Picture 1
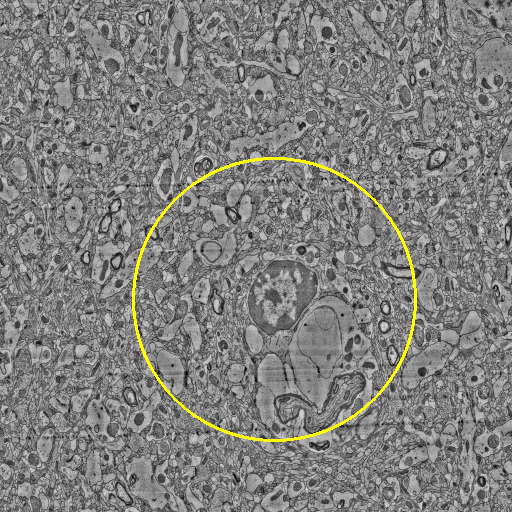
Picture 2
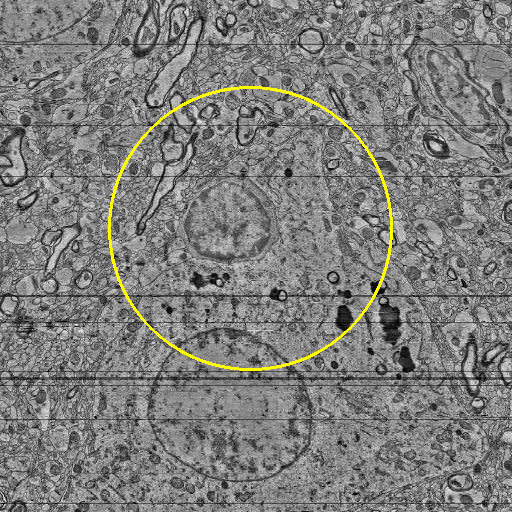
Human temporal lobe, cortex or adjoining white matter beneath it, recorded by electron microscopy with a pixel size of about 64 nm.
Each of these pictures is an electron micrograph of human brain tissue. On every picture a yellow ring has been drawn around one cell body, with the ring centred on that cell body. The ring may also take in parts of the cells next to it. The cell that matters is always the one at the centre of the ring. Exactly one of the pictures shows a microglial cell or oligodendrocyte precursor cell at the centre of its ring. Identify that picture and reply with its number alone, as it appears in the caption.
1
